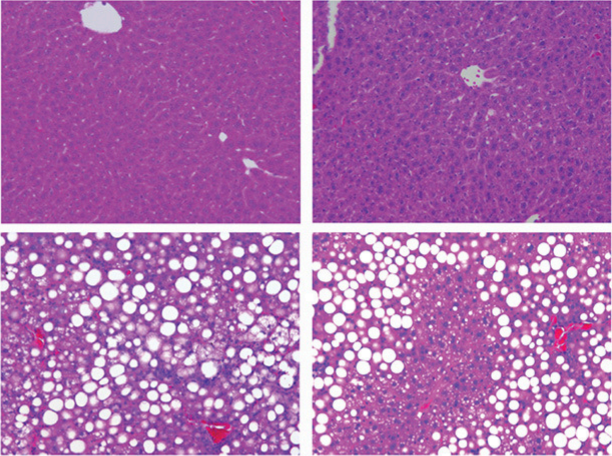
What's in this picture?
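These are four fields of liver, where hepatocytes with pink cytoplasm and round purple nuclei lie around small vessels. In the upper two fields the hepatocytes look even and compact, with no vacuoles. In the lower two fields most hepatocytes are filled with round, clear vacuoles of very different sizes that crowd the tissue, with some small dark nuclei gathered in clusters between them.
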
